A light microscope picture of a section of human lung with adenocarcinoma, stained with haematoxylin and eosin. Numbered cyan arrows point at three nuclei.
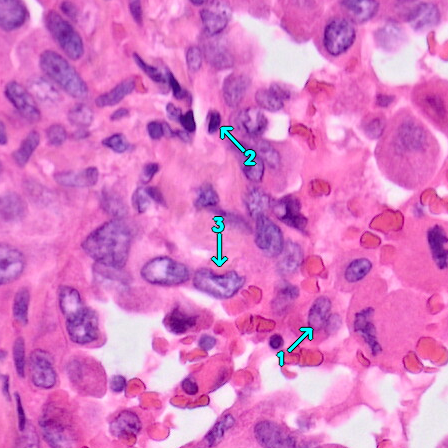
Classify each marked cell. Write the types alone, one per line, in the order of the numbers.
macrophage or monocyte
lymphocyte
carcinoma cell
